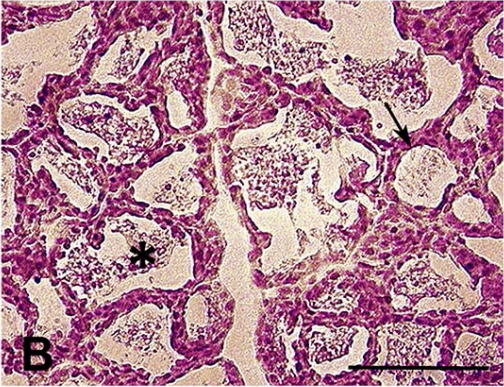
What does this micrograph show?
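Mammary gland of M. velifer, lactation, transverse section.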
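Most lumina are filled with a pale, granular, flocculent secretion that often pulls away from the wall. Narrow septa carry the cell layers of neighbouring alveoli back to back, with very little connective tissue between them. A wider pale channel runs vertically through the middle of the field.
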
